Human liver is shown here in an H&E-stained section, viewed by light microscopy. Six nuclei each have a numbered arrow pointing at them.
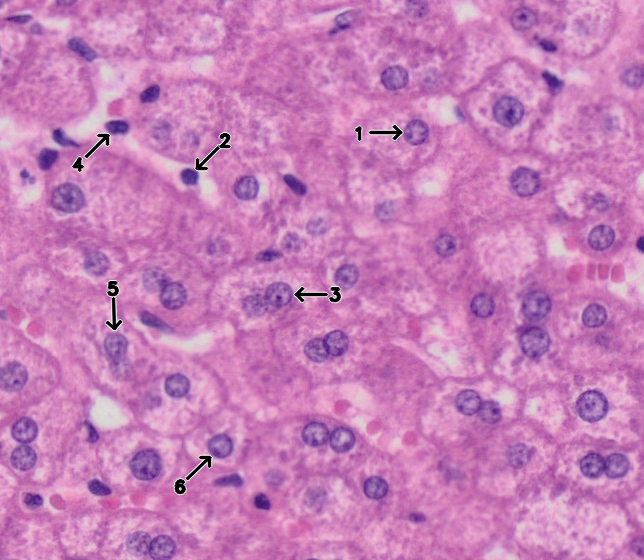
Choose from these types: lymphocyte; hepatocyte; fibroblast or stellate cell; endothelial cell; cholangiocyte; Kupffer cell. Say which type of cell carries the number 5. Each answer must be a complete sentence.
The nucleus with number 5 is that of a hepatocyte.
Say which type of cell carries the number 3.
The cell numbered 3 represents a hepatocyte.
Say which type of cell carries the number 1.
Cell 1, among those numbered, is a hepatocyte.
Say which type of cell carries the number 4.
The cell whose nucleus carries the number 4 is a lymphocyte.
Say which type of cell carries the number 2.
Cell 2, among those numbered, is a lymphocyte.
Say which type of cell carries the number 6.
The one labeled 6 is a hepatocyte, to put it simply.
